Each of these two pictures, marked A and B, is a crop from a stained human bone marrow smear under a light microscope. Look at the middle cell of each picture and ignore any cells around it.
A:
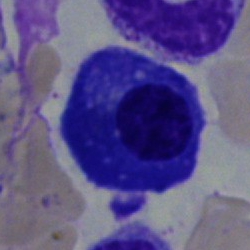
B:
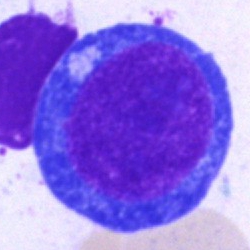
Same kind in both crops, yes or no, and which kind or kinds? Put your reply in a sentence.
No, crop A is where a plasma cell is, and crop B is where a proerythroblast is.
